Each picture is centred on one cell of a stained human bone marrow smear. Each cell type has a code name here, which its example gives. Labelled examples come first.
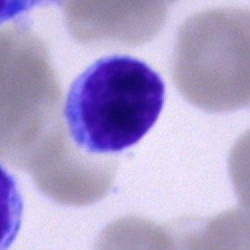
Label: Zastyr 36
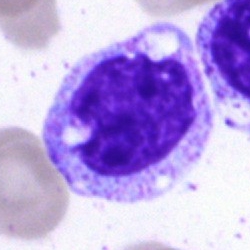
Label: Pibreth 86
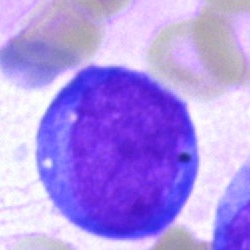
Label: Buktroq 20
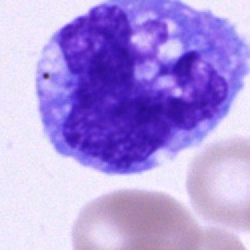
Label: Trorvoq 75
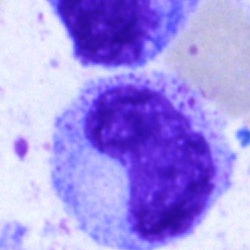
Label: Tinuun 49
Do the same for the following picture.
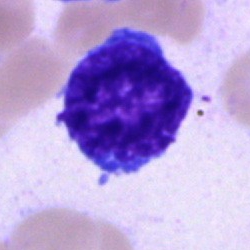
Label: Buktroq 20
